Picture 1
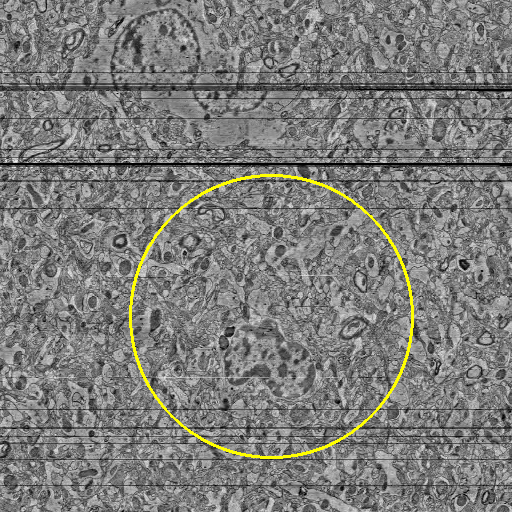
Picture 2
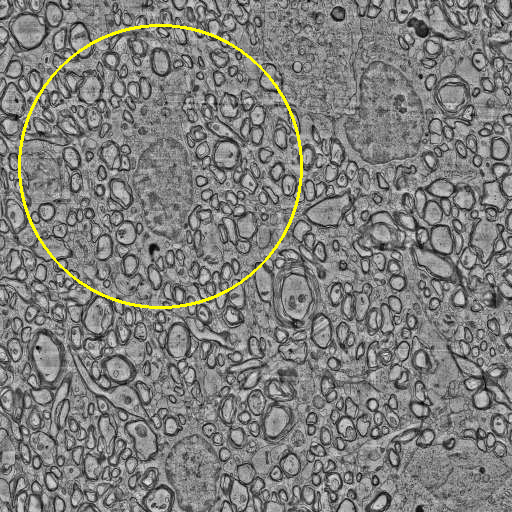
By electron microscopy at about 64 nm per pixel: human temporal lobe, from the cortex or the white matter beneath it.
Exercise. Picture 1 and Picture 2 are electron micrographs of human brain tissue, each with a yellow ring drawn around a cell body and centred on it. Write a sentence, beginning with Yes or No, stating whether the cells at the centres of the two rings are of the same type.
No, the cells at the centres of the rings are of two types.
